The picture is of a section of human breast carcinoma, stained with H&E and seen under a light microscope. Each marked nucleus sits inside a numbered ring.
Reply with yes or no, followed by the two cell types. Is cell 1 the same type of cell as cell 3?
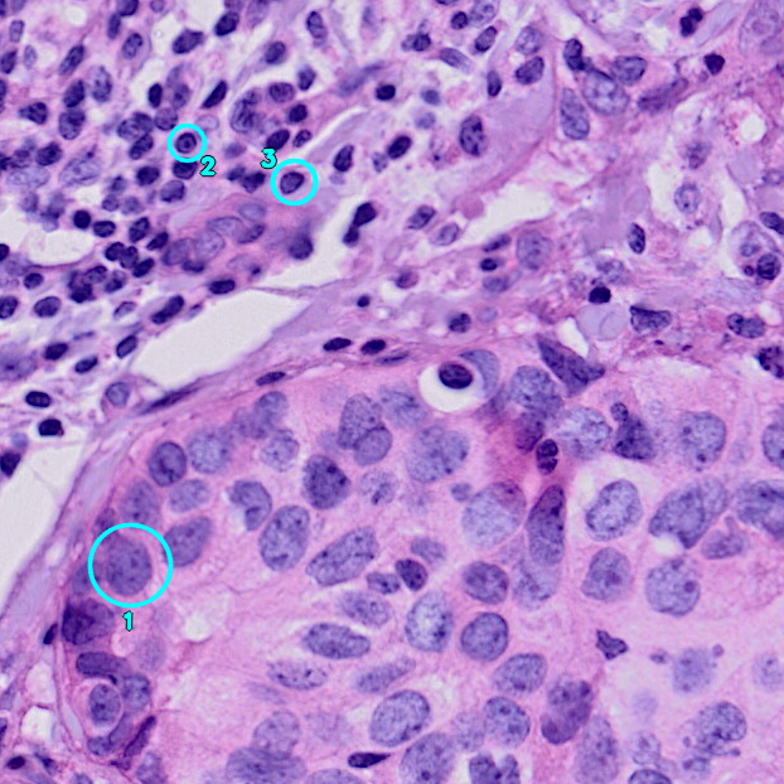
No, cell 1 is interpreted as a carcinoma cell, and cell 3 is interpreted as a lymphocyte.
